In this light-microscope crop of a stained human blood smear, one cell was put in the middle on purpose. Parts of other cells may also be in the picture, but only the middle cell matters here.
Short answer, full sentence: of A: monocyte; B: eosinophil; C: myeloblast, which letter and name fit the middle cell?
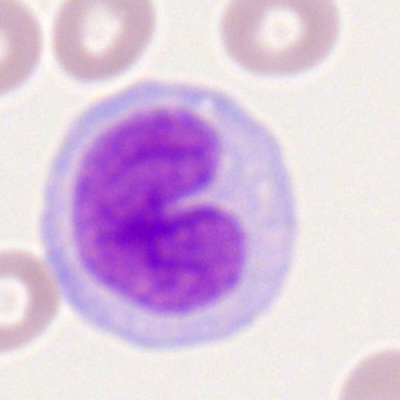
The middle of the crop contains a monocyte, so option A is right.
